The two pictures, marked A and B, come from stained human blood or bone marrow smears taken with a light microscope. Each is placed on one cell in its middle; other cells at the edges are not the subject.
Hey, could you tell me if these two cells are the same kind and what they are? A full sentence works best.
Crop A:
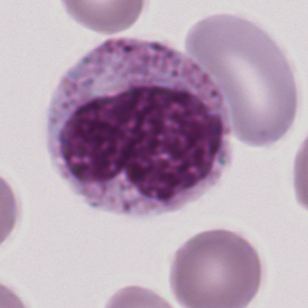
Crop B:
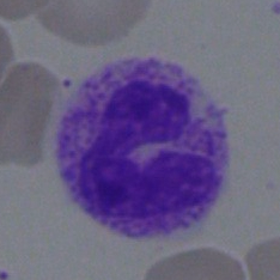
Yes, in both crops, band neutrophils are the cells at the middle.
